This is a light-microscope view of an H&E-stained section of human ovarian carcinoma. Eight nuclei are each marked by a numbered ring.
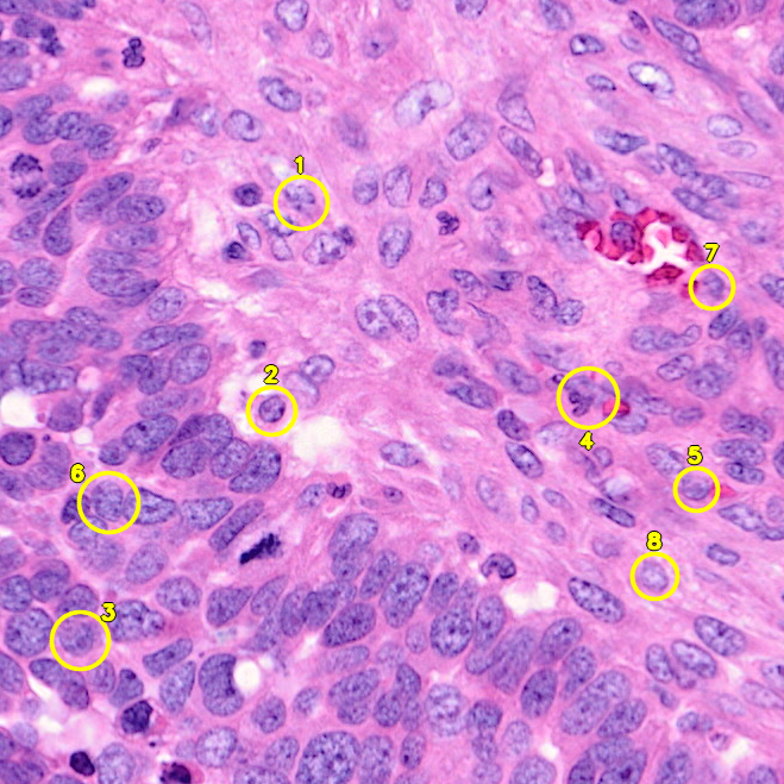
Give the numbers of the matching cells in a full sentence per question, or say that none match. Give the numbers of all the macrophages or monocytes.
Among the numbered cells, the one that is a macrophage or monocyte is cell 2 alone.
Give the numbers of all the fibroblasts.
In this section, the cells numbered 1 and 8 are fibroblasts.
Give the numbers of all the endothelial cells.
The cells that have numbers 4, 5 and 7 are endothelial cells.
